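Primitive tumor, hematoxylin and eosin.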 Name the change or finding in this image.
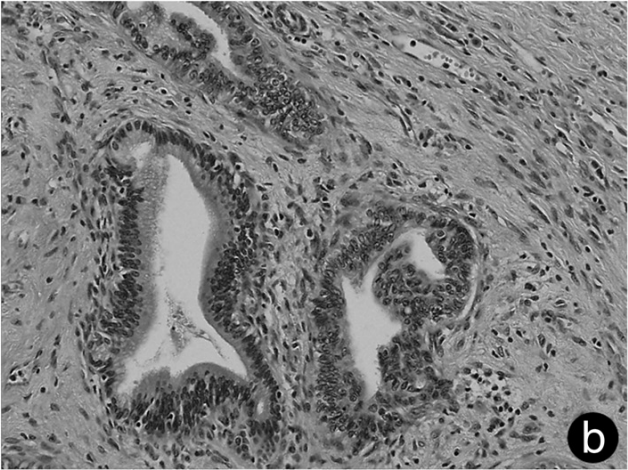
Well-differentiated tubular adenocarcinoma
